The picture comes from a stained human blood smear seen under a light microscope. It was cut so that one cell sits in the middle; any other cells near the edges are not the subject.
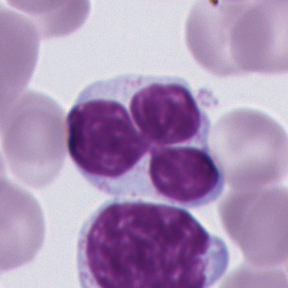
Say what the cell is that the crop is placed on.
large granular lymphocyte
